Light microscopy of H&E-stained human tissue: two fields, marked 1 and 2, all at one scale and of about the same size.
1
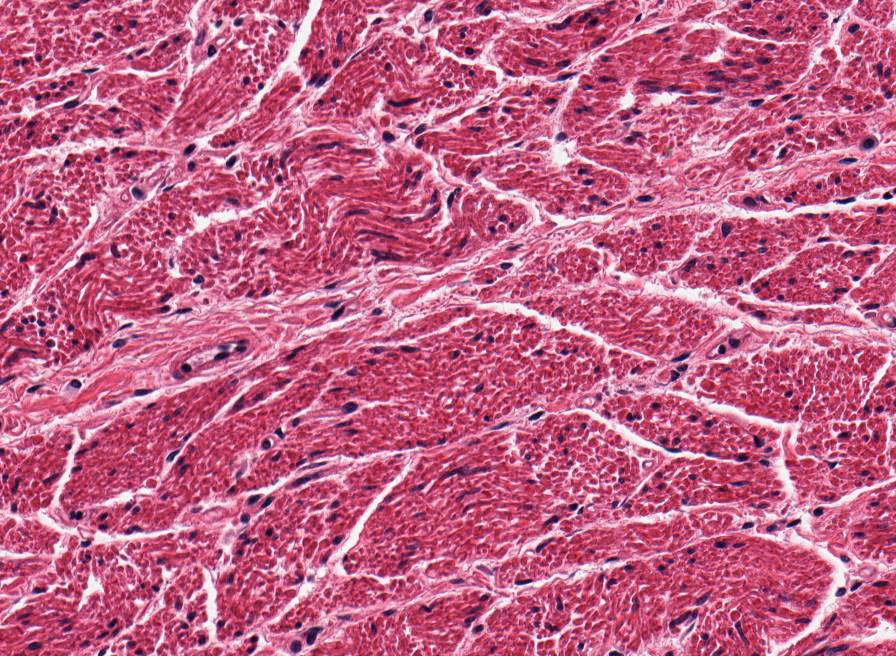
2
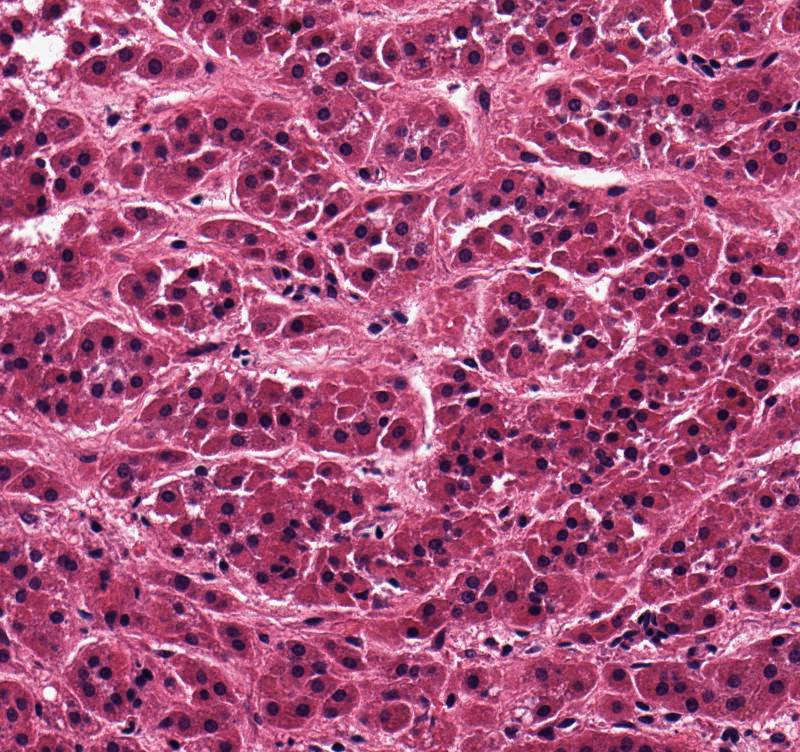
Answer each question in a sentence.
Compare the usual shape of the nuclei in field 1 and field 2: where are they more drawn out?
It is field 1 whose nuclei are the more elongated.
